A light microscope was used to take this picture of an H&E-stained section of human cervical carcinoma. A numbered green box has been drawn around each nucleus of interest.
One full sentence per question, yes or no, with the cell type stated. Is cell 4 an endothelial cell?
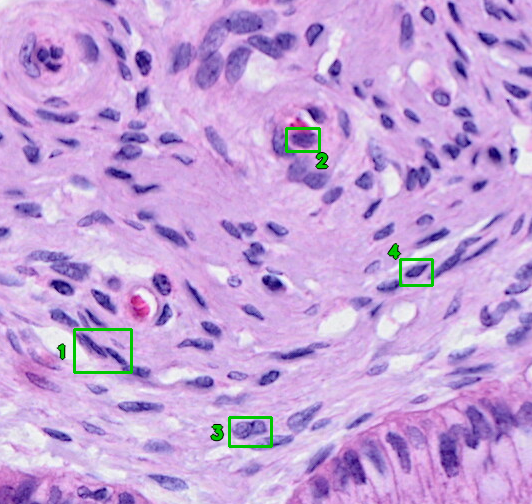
No, rather than an endothelial cell, cell number 4 is a fibroblast.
